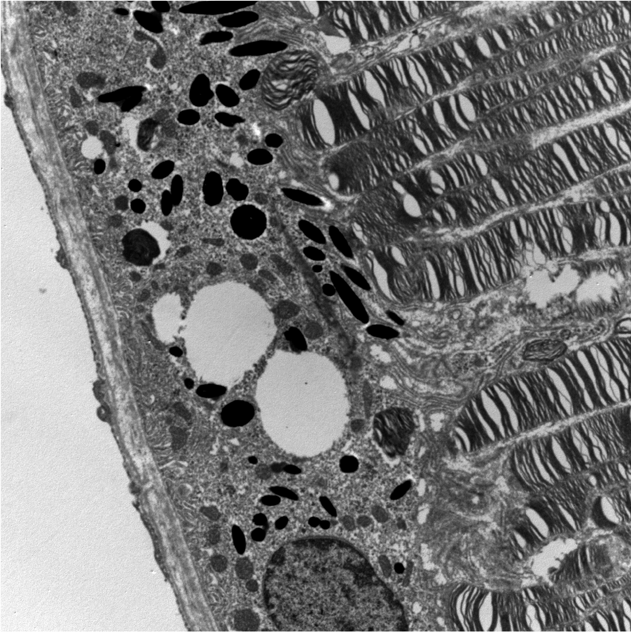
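Transmission electron micrograph of retinal pigment epithelium cells lying against the thin basal membrane on the left, with photoreceptor outer segments of stacked membrane lamellae entering from the right. The cytoplasm holds many electron-dense black melanosomes, round and spindle-shaped, together with grey mitochondria. Several large, round, pale, homogeneous droplets sit in the cytoplasm and push the organelles aside. A nucleus with finely granular chromatin lies at the lower edge. The basal side next to the membrane shows only a thin, poorly developed zone of infoldings, and the organelles are not arranged in an orderly apical-to-basal pattern.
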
